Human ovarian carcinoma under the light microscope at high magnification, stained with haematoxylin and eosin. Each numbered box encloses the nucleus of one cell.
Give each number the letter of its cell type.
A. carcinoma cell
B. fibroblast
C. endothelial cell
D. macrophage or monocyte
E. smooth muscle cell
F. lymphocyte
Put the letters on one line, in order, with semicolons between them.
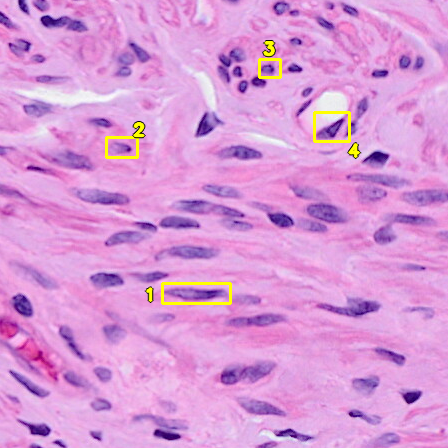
E; E; E; C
